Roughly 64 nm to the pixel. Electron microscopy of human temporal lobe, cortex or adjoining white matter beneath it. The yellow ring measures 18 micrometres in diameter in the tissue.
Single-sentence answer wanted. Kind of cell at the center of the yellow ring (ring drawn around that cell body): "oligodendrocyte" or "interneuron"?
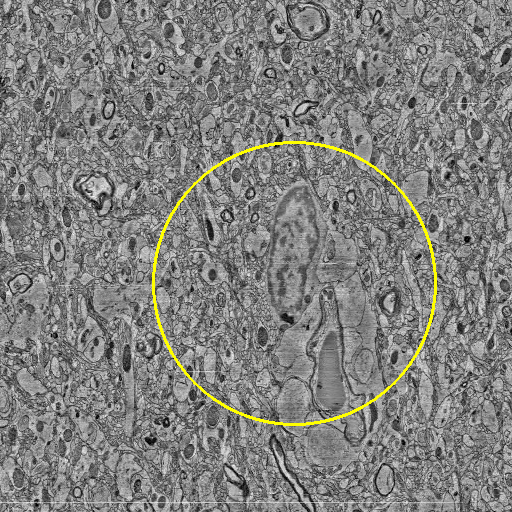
The cell centered in the ring is an oligodendrocyte.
